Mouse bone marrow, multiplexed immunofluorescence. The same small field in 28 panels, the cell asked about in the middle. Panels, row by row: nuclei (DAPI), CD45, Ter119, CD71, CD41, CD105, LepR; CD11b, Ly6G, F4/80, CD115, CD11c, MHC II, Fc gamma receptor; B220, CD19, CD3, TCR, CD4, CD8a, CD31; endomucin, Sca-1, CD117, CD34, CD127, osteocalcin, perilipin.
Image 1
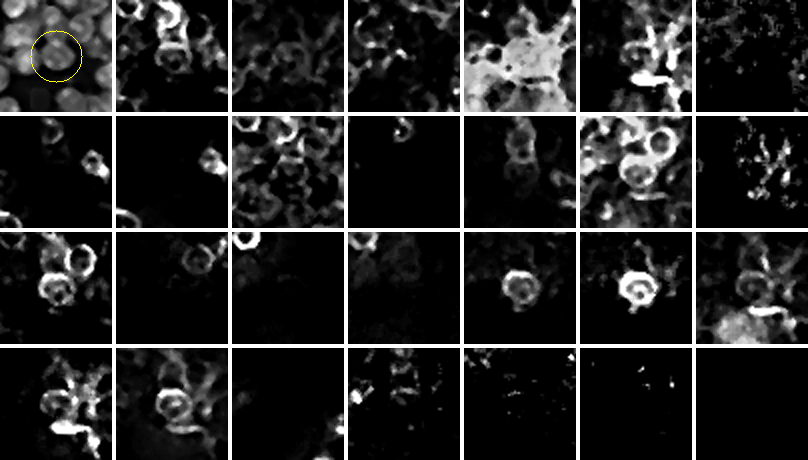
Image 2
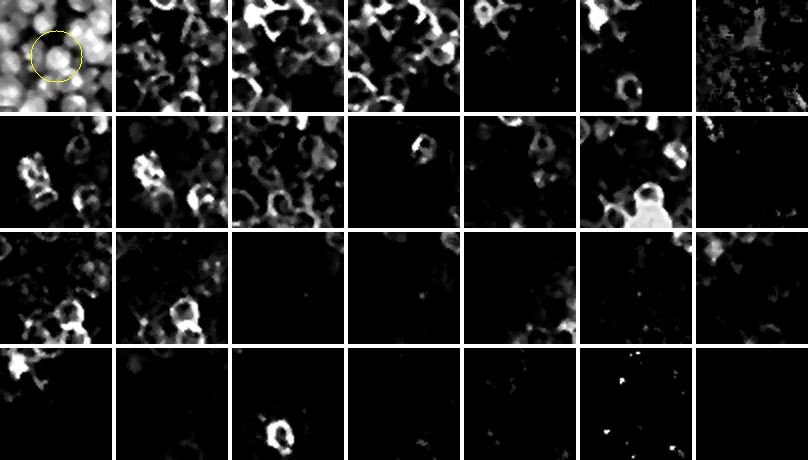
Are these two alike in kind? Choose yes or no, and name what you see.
No. First a capillary endothelial cell, second an erythroblast.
